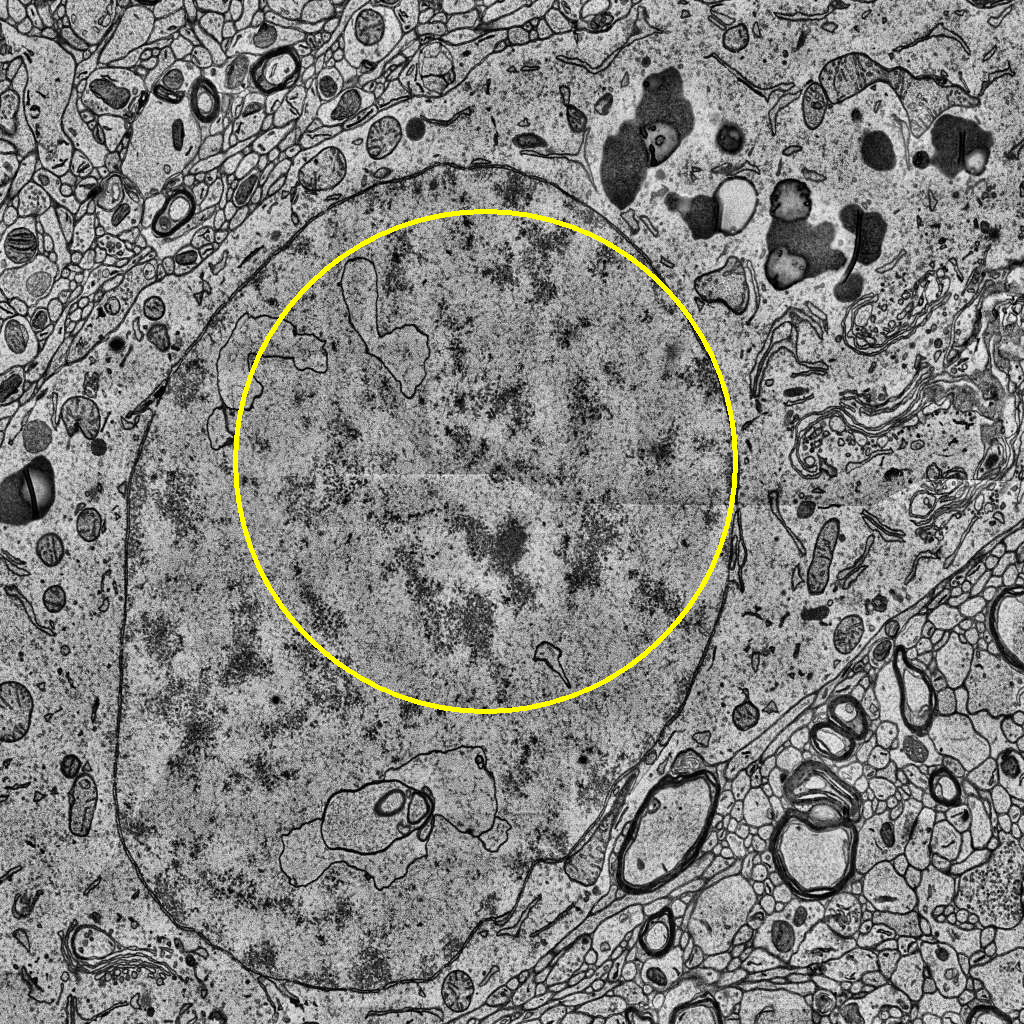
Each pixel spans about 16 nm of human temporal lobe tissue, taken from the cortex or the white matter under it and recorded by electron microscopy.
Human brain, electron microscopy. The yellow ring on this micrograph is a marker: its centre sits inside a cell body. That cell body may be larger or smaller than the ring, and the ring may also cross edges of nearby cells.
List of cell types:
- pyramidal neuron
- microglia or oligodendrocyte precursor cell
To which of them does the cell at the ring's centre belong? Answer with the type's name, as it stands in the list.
pyramidal neuron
